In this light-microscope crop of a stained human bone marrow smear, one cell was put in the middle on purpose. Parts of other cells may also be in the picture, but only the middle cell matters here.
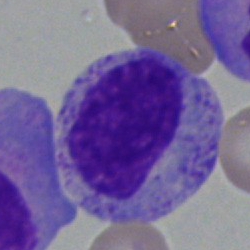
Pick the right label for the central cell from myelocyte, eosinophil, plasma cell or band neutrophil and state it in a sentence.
To answer, the cell in the center of the crop is a myelocyte.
